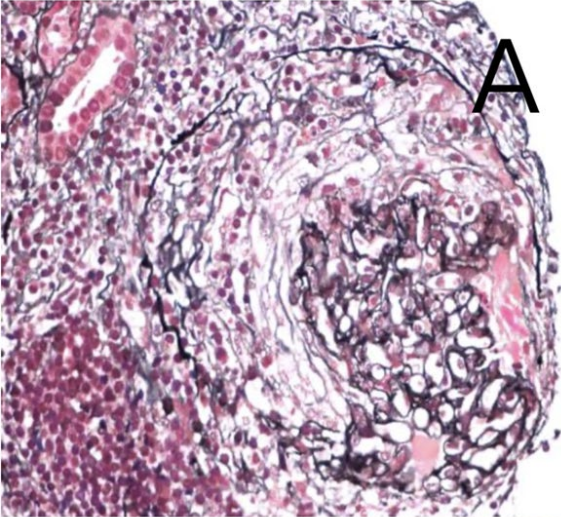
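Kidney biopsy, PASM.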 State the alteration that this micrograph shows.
Fibrocellular crescent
